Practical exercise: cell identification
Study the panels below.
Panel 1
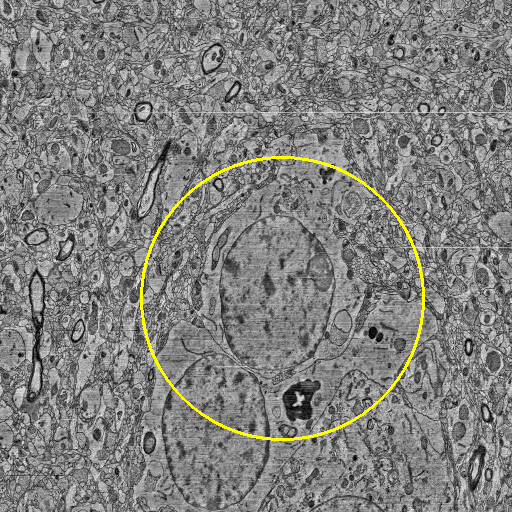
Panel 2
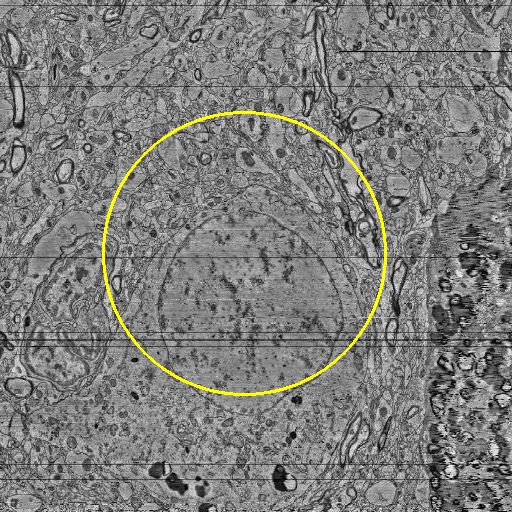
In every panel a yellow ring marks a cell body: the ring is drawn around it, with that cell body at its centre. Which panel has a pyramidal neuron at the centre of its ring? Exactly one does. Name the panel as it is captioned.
Panel 2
